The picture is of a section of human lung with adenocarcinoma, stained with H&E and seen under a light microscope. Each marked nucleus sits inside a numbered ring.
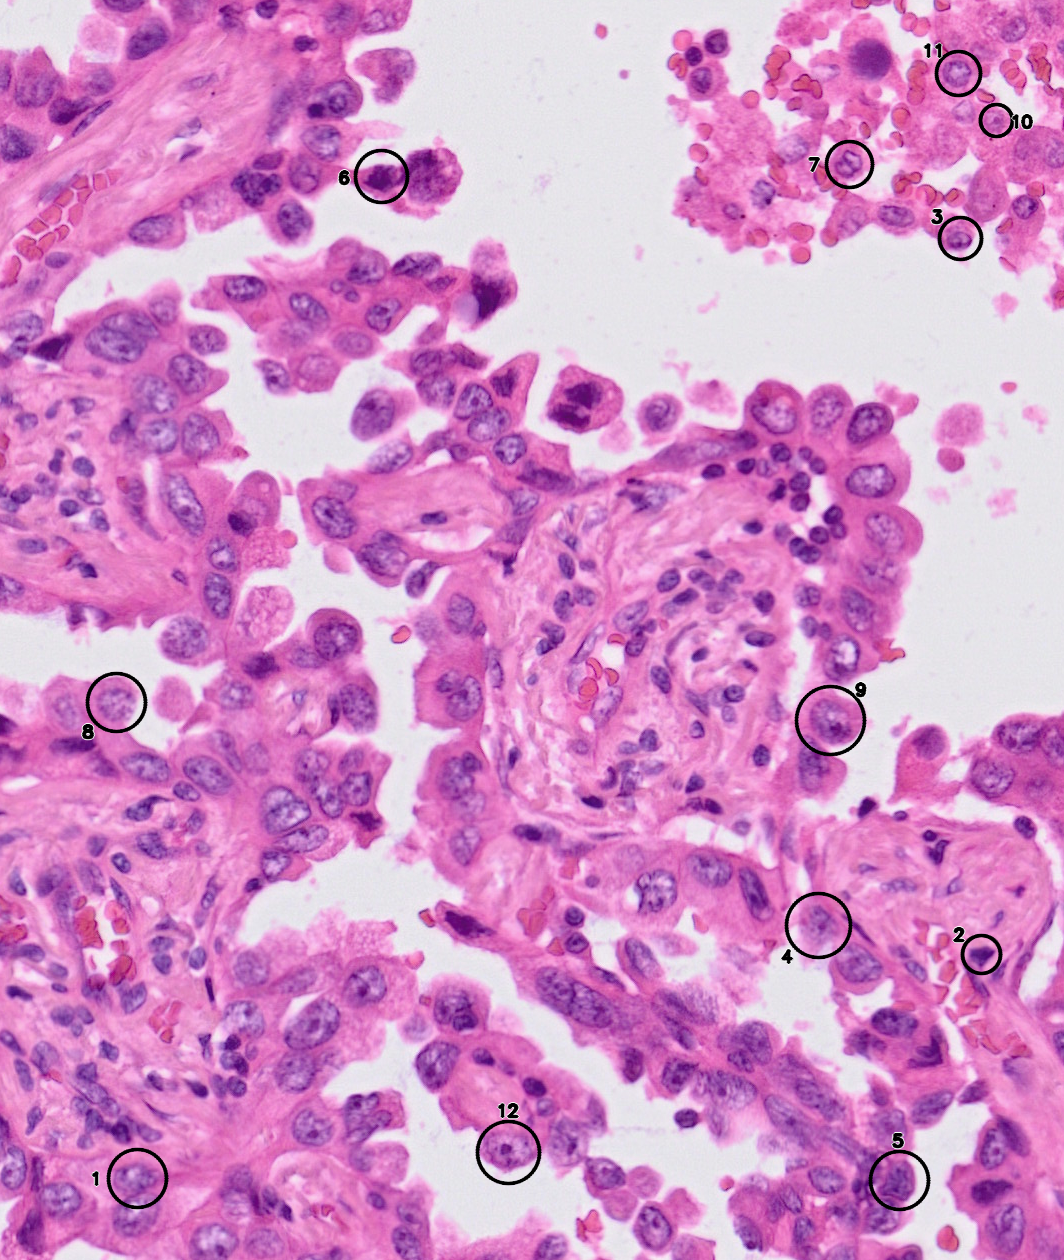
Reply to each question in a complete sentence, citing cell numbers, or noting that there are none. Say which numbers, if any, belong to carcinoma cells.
In this section, the cells numbered 1, 4, 5, 6, 8, 9 and 12 are carcinoma cells.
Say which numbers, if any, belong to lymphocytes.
Where the numbered cells are concerned, only number 2 is a lymphocyte.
